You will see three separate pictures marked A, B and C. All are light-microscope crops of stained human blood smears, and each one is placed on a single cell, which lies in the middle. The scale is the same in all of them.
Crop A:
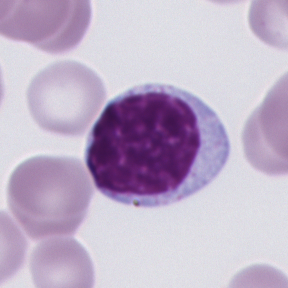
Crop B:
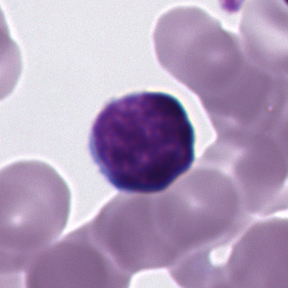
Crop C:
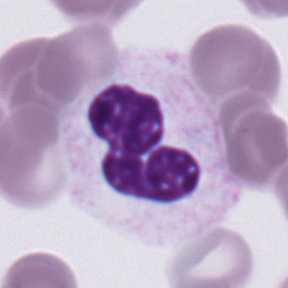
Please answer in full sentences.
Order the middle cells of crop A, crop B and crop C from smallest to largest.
From the smallest up, the order is B, A, C.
